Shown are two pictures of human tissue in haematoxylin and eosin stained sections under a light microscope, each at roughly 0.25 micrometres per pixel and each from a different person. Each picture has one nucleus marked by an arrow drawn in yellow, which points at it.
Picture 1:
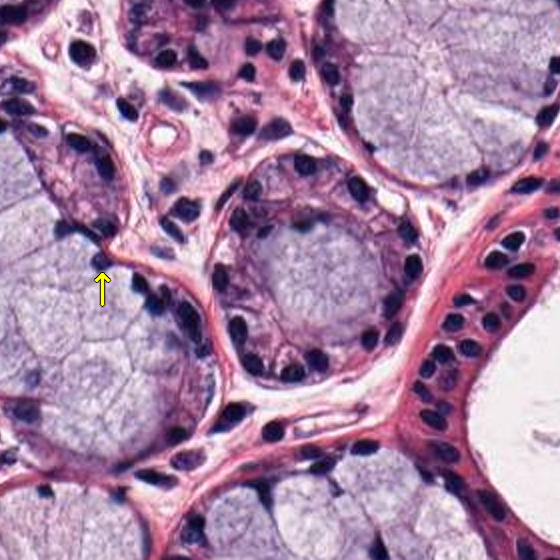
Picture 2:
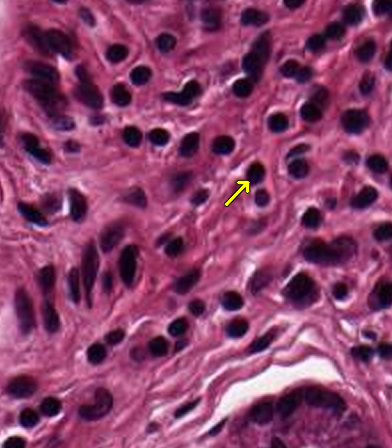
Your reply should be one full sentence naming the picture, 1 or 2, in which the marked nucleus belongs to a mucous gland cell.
Where picture 1 is concerned, the marked nucleus belongs to a mucous gland cell.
